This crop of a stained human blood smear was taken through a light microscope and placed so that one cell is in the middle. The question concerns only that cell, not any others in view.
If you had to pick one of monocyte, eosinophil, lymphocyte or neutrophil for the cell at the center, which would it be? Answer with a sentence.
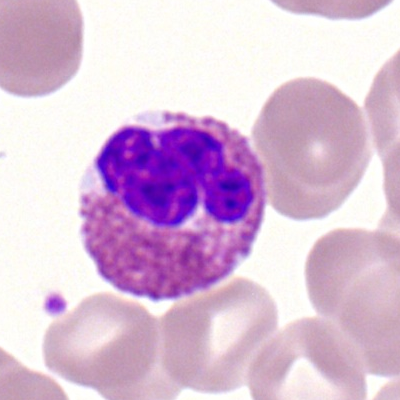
The identification for the central cell is an eosinophil.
